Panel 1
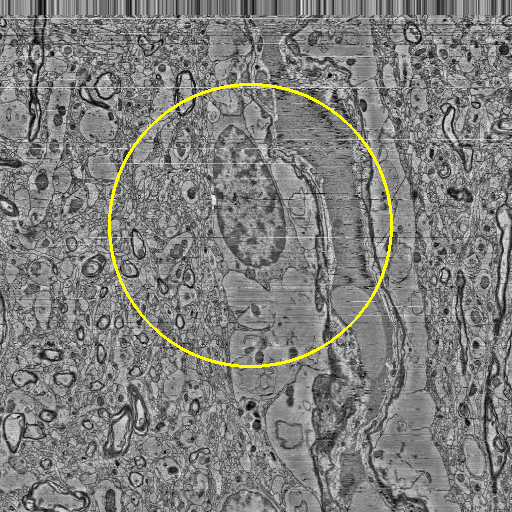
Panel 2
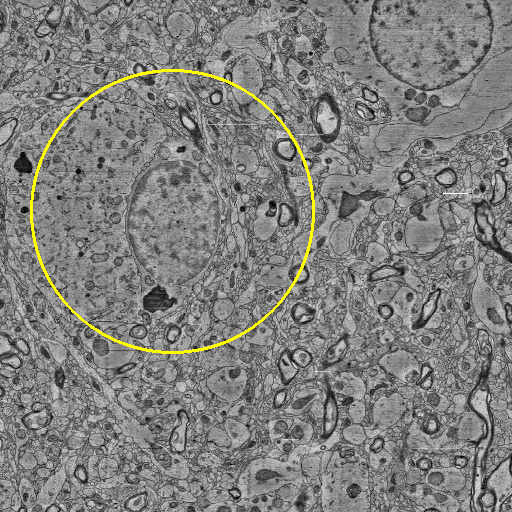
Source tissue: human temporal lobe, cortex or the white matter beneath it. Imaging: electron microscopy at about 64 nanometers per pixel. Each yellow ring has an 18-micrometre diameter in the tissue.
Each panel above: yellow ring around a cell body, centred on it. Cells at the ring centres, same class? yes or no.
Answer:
yes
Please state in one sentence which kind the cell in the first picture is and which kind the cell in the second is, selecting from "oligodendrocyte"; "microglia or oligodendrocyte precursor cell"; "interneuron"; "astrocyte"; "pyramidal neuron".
Both pictures show an oligodendrocyte at the centre of the ring.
